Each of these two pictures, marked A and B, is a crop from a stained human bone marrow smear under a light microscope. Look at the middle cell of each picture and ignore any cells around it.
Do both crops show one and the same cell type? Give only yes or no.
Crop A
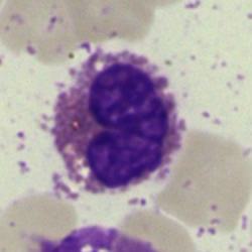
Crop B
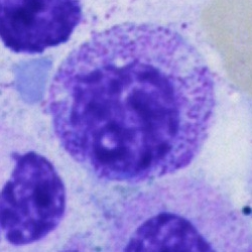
no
